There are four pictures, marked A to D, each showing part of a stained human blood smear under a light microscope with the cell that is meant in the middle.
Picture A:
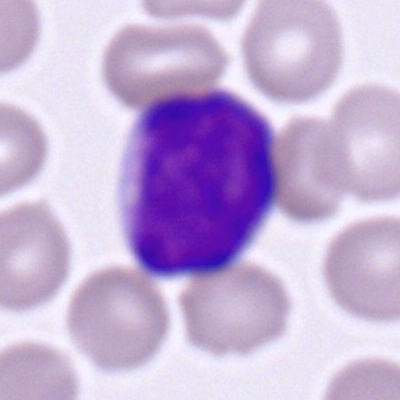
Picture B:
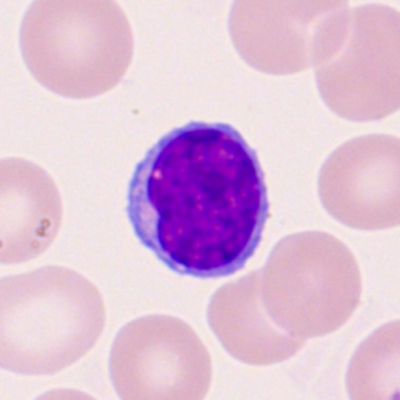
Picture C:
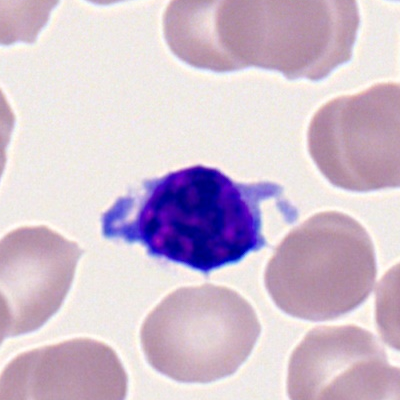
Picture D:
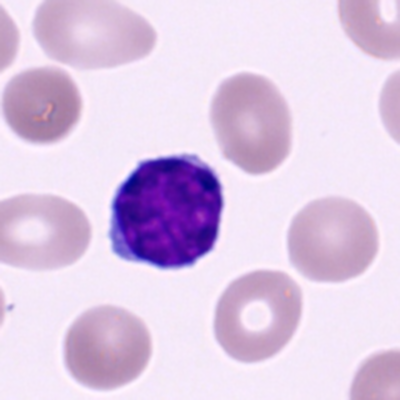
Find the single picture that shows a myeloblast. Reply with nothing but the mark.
A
